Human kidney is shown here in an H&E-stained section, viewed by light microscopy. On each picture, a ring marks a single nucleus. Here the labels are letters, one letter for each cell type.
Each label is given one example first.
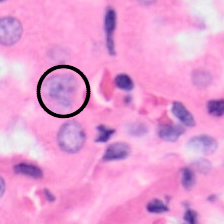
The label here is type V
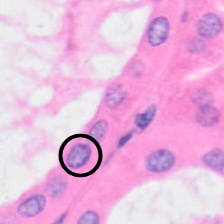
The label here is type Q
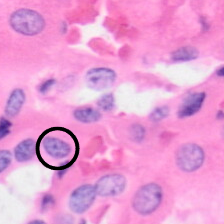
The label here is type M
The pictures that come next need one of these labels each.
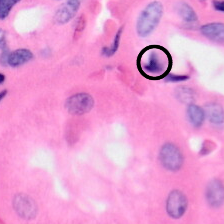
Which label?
type M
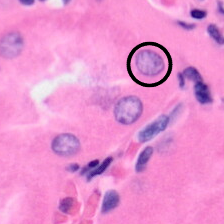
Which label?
type V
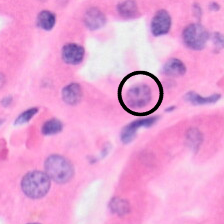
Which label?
type Q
